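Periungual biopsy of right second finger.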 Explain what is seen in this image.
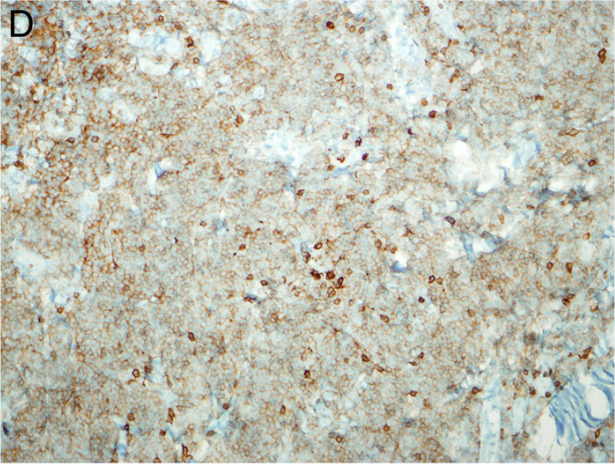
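A dense lymphoid infiltrate in the dermis shows faint brown membrane staining over most of its small round cells. The weakly stained cells are packed together in sheets.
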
